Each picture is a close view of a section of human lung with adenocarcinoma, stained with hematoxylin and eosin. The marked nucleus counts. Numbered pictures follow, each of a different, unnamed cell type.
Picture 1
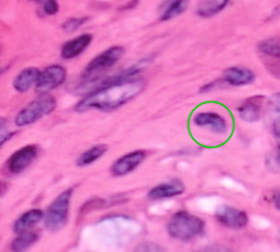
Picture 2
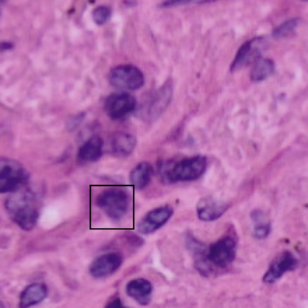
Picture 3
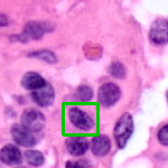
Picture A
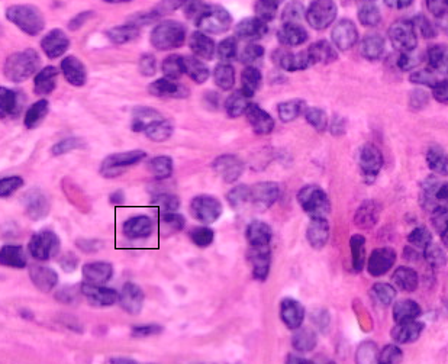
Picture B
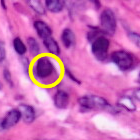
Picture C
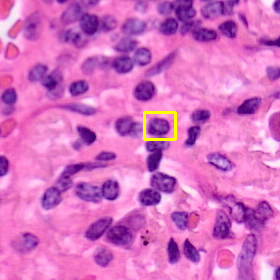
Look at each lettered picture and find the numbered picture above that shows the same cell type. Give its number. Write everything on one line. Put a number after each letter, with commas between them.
A 3, B 2, C 3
